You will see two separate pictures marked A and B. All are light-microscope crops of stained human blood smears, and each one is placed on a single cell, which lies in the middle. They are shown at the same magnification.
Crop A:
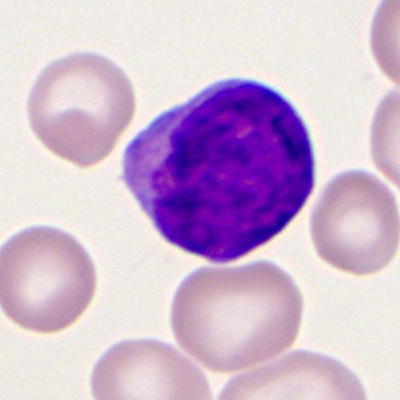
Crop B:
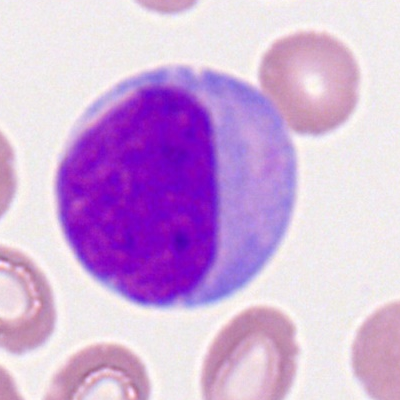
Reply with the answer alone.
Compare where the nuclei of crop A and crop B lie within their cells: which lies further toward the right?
A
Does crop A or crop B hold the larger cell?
B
